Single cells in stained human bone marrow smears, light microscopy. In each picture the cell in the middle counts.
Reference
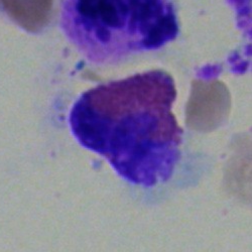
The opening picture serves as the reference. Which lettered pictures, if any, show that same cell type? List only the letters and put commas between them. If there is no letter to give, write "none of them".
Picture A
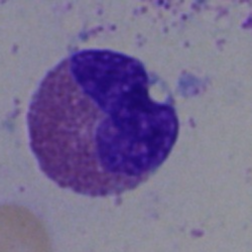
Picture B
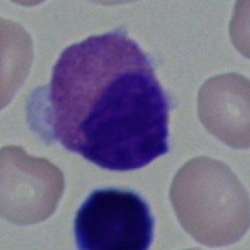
A, B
